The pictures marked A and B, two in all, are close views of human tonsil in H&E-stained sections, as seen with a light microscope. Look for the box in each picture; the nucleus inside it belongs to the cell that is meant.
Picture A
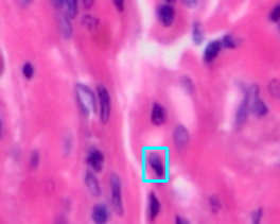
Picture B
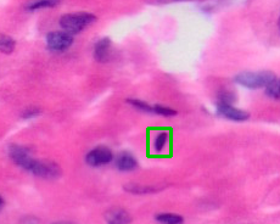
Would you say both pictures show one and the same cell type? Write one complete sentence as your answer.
Yes; the cells in both pictures are mast cells.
